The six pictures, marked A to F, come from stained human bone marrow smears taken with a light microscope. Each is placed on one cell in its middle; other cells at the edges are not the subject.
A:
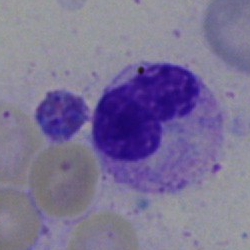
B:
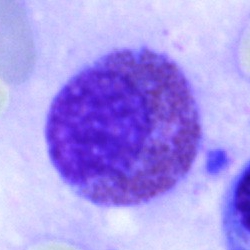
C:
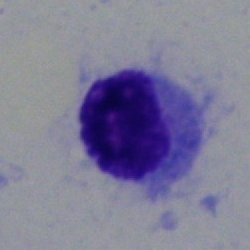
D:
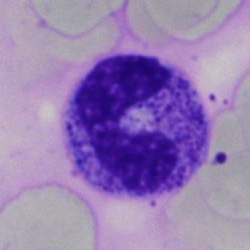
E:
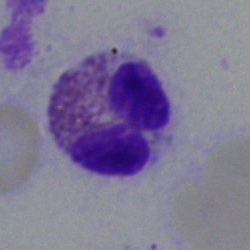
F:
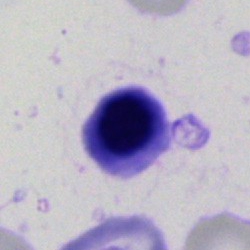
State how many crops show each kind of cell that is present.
band neutrophil: 2
eosinophil: 2
hairy cell: 1
erythroblast: 1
